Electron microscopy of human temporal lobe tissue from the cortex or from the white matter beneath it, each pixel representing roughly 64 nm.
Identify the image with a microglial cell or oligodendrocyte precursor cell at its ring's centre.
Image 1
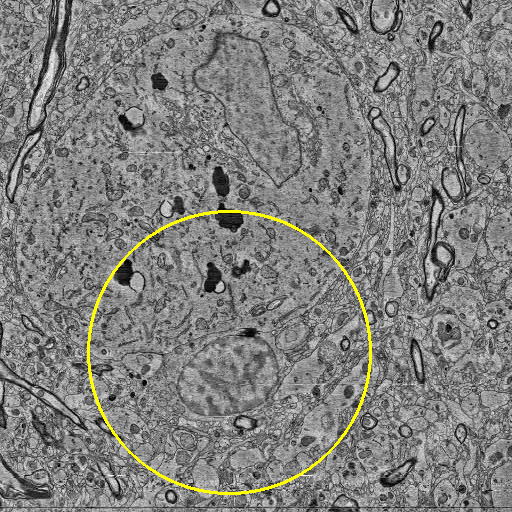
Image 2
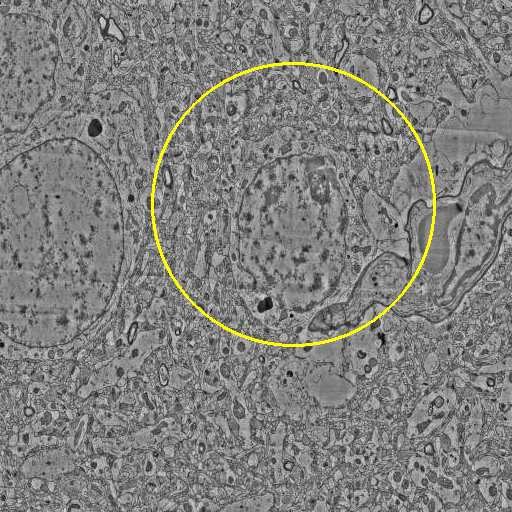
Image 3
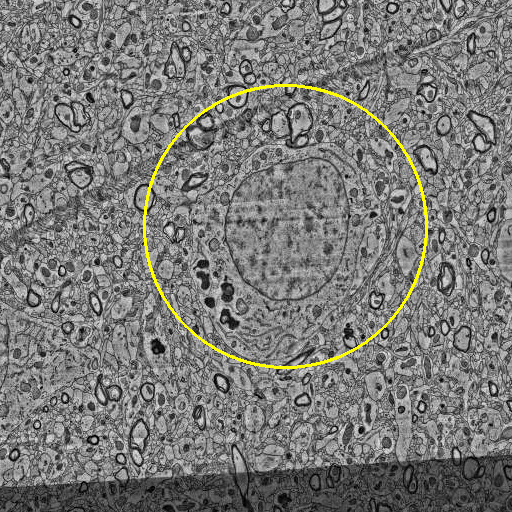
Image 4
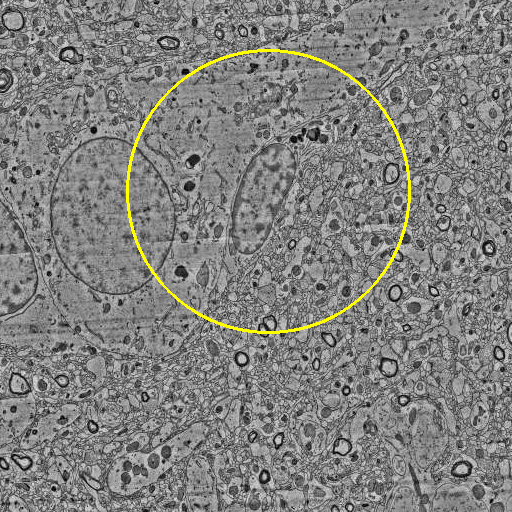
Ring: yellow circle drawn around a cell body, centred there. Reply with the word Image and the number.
Image 4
